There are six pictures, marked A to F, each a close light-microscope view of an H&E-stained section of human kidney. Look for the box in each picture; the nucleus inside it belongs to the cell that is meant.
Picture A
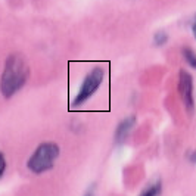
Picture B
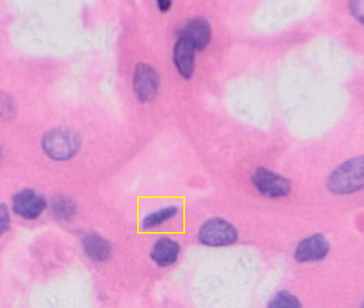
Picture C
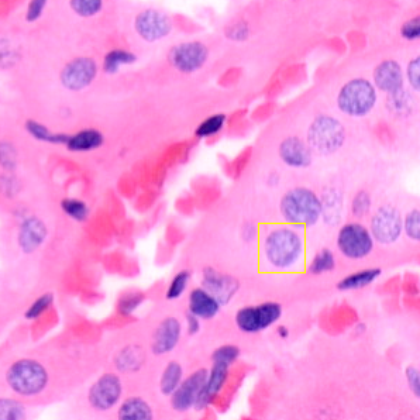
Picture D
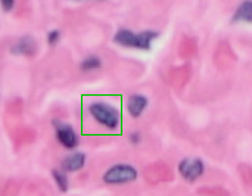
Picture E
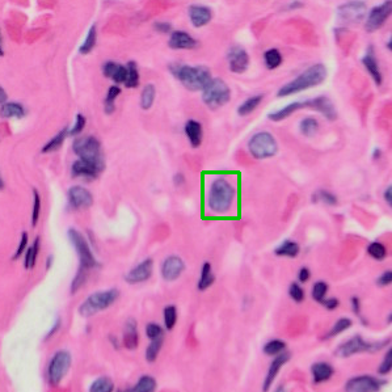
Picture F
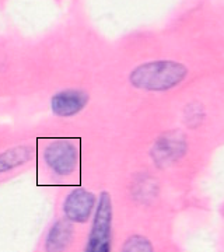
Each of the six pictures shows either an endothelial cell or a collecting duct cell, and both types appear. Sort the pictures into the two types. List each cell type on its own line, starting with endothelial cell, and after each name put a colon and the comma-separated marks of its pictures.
endothelial cell: A, B, D, E
collecting duct cell: C, F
